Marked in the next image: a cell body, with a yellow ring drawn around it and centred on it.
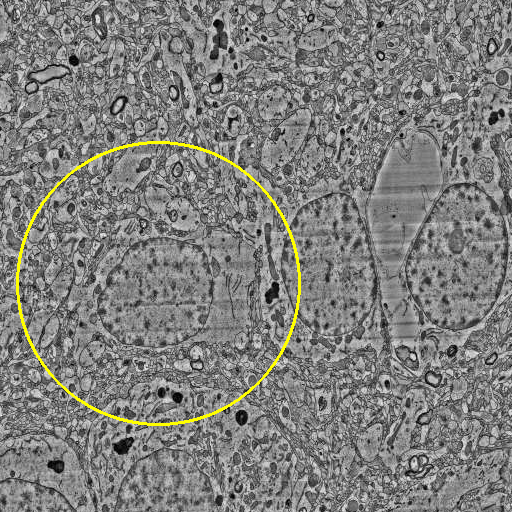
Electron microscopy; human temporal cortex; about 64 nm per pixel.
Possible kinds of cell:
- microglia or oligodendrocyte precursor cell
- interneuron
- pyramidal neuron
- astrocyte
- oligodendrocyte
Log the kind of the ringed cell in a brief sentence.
The ringed cell body is that of an astrocyte.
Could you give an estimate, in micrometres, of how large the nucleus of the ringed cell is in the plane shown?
Roughly 7 micrometers across in this plane.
